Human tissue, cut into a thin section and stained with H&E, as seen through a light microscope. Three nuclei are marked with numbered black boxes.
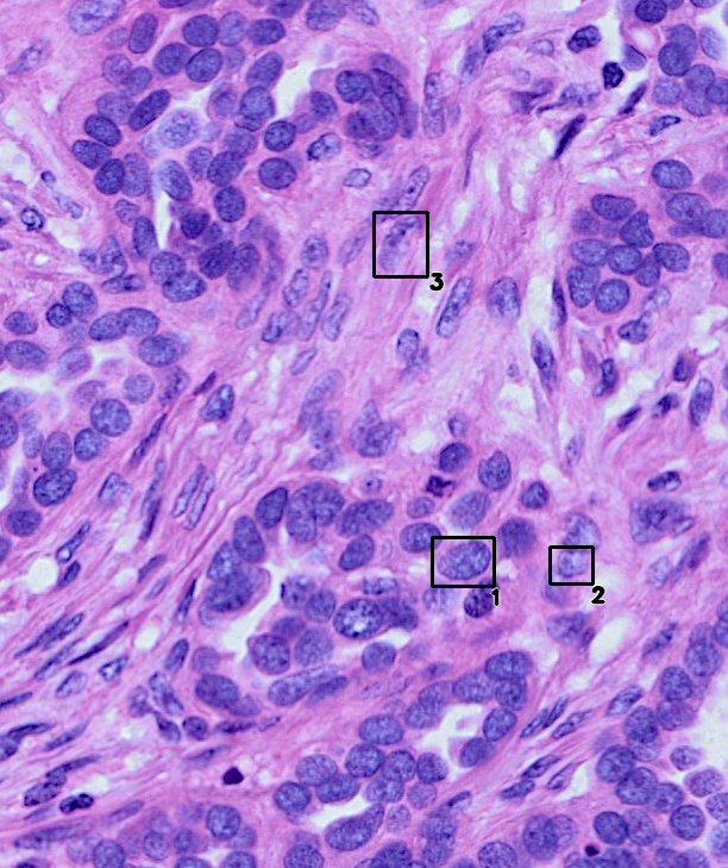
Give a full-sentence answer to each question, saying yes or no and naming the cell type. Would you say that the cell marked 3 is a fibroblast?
Yes, the cell denoted by 3 is a fibroblast.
